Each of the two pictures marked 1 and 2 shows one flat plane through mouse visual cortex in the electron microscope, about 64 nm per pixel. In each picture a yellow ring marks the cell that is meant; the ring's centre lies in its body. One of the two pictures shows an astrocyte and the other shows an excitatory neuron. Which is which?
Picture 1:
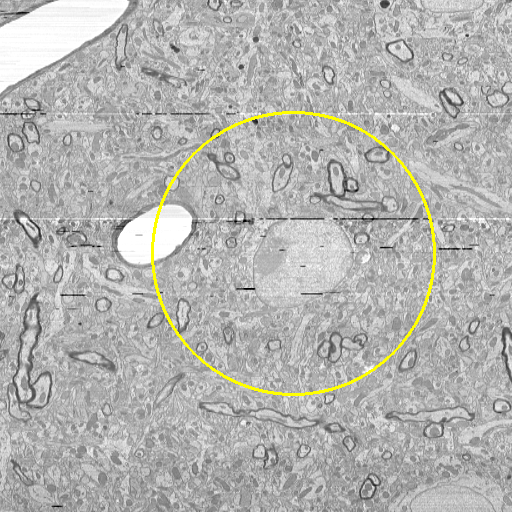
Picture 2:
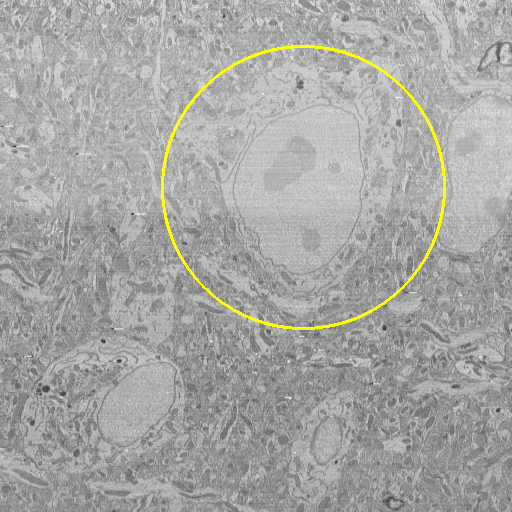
The cell in picture 1 is an astrocyte, and the one in picture 2 is an excitatory neuron.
